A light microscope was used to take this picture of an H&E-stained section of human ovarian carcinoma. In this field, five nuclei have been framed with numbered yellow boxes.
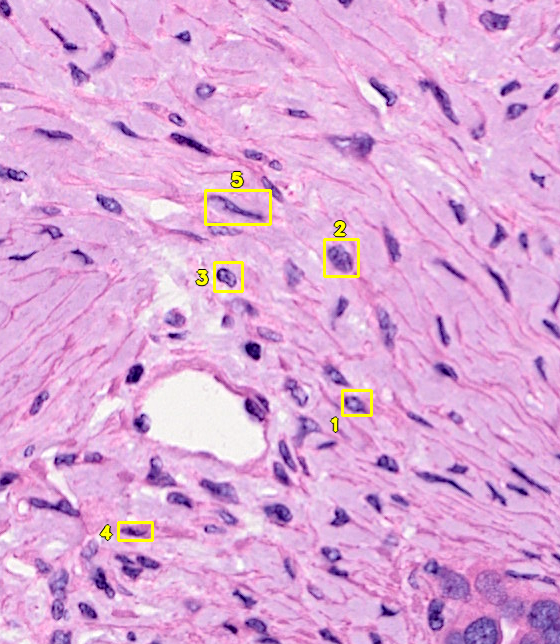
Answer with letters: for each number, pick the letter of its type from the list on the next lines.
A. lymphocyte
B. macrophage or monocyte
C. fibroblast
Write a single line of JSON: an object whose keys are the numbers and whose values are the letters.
{"1": "C", "2": "B", "3": "A", "4": "C", "5": "C"}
